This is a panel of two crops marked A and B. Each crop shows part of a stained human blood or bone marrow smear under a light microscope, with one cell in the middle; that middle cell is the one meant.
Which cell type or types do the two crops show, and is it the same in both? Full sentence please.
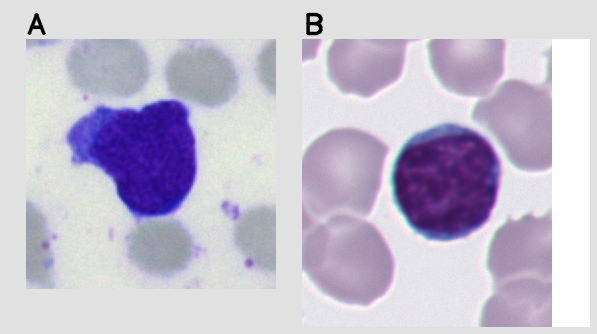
No, in crop A there is a blast, and in crop B there is a lymphocyte.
